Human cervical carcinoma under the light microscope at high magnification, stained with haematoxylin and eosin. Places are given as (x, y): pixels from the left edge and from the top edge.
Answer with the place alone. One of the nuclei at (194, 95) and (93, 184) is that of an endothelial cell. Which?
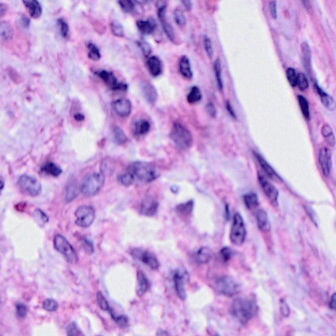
(93, 184)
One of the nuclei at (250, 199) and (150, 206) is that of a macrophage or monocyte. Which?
(150, 206)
